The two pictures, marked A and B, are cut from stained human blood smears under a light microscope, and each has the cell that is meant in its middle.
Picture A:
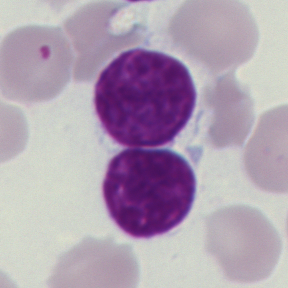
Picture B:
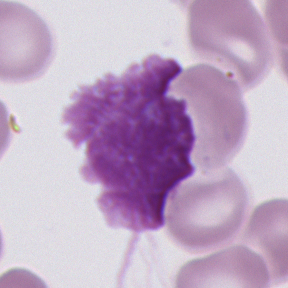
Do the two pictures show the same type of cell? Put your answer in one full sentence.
No, the types are not the same, since picture A shows a myeloblast and picture B a smudge cell.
